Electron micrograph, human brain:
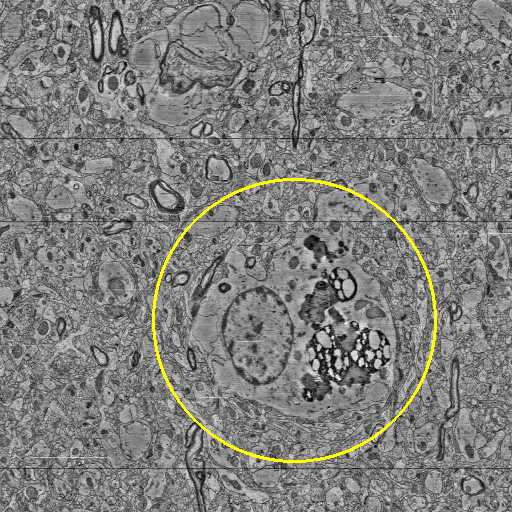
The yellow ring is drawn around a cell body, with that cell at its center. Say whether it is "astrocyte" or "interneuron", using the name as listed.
astrocyte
